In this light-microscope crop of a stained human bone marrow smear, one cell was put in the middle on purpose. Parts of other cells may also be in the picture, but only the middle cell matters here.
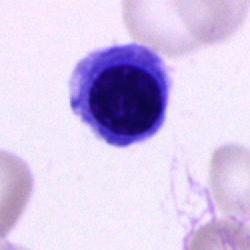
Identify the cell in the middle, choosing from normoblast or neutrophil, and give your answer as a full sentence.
To answer, the cell in the center of the crop is a normoblast.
